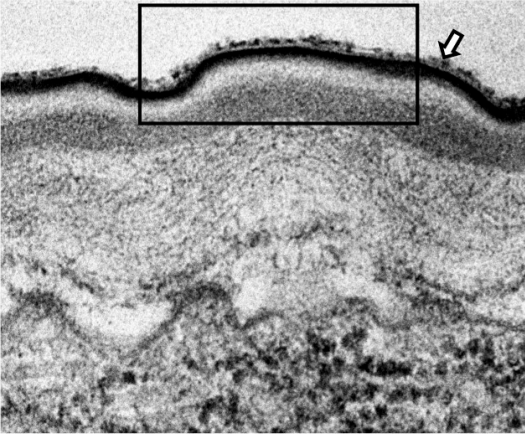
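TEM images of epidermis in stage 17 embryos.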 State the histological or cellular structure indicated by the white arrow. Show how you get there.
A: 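The arrow points at the outermost dark band. Small dark granules are scattered along the top of that band.
Hence: surface of the envelope layer.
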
